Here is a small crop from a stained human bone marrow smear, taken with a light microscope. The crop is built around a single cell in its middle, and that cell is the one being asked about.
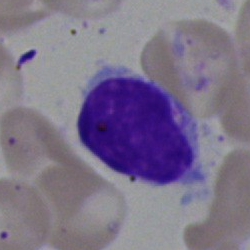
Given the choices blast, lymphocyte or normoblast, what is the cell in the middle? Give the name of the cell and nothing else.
lymphocyte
